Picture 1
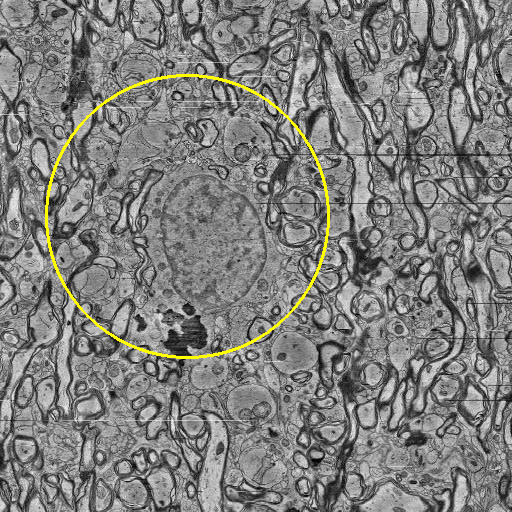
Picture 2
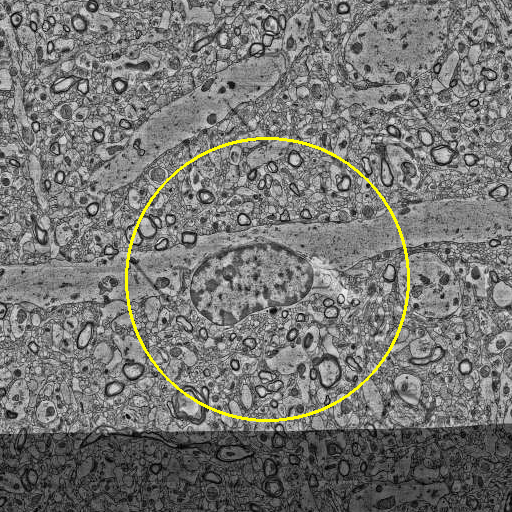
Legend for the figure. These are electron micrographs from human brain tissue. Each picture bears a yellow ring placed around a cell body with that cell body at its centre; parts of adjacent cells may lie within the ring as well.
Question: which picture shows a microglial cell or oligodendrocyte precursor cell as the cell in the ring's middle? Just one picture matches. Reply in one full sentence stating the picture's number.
It is picture 2 whose yellow ring is centred on the requested cell.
